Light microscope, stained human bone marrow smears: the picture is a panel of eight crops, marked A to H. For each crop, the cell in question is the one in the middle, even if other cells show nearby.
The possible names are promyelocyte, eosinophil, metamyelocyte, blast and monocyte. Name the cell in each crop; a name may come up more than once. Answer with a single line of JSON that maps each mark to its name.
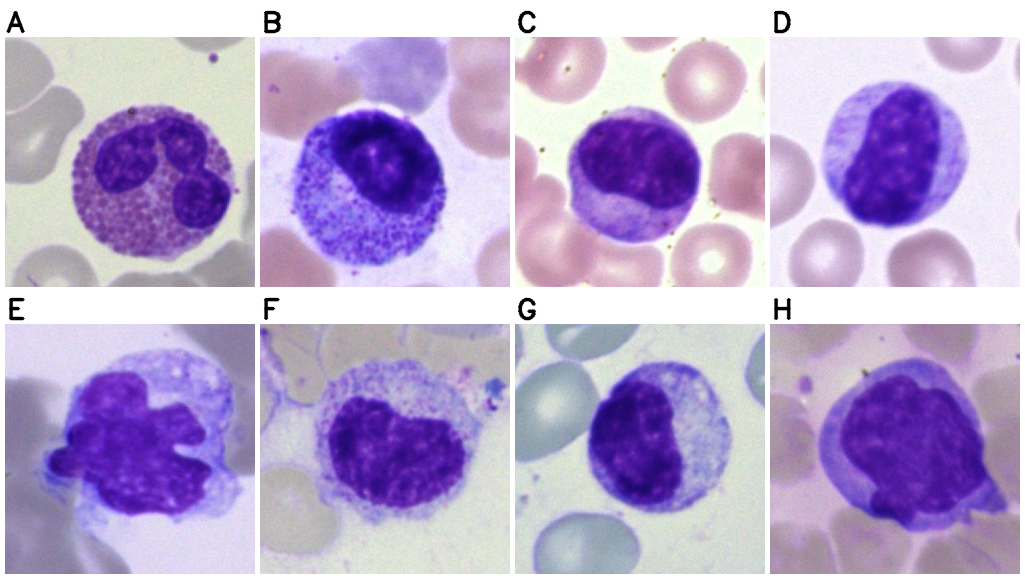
{"A": "eosinophil", "B": "promyelocyte", "C": "metamyelocyte", "D": "metamyelocyte", "E": "monocyte", "F": "metamyelocyte", "G": "metamyelocyte", "H": "monocyte"}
